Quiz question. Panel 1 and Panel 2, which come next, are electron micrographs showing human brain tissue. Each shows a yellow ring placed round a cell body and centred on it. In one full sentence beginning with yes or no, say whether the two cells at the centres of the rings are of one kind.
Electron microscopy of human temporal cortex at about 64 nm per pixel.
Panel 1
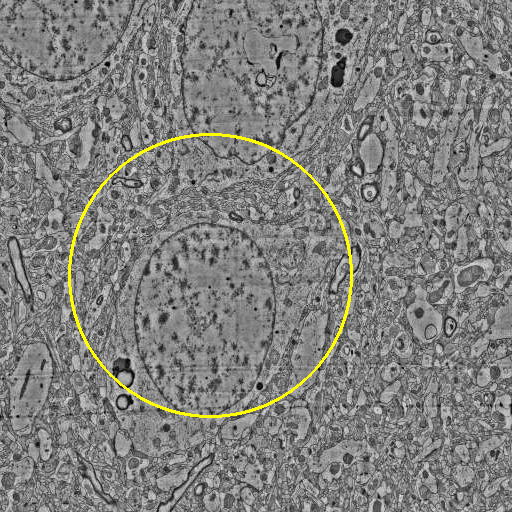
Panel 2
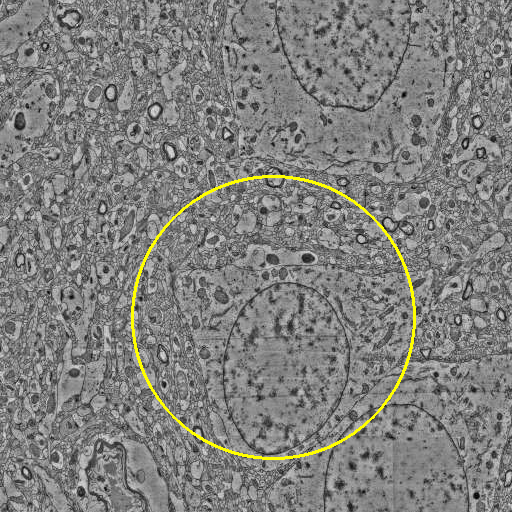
Yes, Panel 1 and Panel 2 show one kind of cell at the centre of the ring.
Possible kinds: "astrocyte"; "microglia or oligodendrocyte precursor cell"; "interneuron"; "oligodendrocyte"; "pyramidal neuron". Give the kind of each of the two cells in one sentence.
Each cell at the centre of a ring is a pyramidal neuron.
